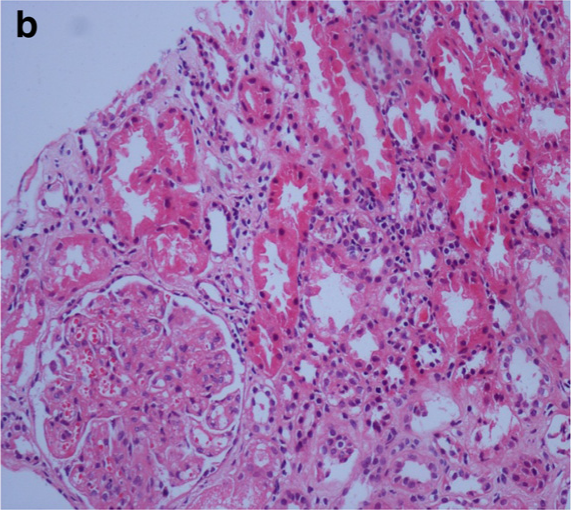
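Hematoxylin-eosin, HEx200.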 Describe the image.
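Renal cortex with a glomerulus at lower left and surrounding tubules. The glomerular tuft is lobulated and densely cellular, with many dark nuclei packed between capillary loops and pink intercapillary material; a thin Bowman's capsule and a narrow urinary space enclose it. Tubules around it are lined by cuboidal cells with bright pink granular cytoplasm and round basal nuclei, their lumina open and star-shaped. Between the tubules the interstitium holds scattered and clustered small round dark nuclei.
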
